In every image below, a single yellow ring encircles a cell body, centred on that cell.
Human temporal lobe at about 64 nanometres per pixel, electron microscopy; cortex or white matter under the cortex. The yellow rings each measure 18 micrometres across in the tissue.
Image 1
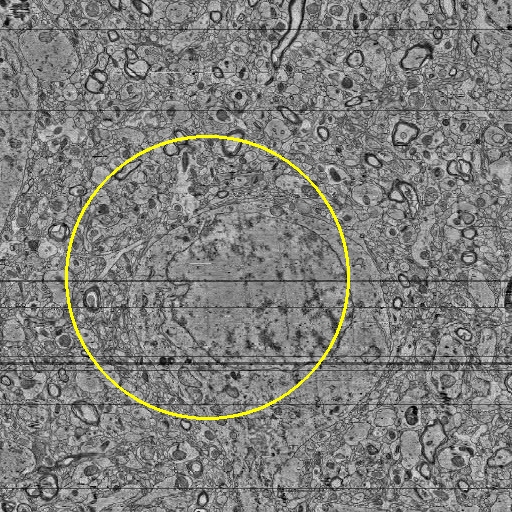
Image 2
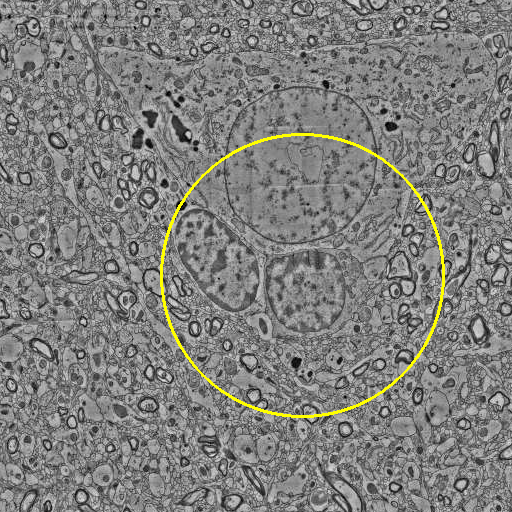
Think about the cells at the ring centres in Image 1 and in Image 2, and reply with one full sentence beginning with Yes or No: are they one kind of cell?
No, the cells centred in the rings of Image 1 and Image 2 are two kinds of cell.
